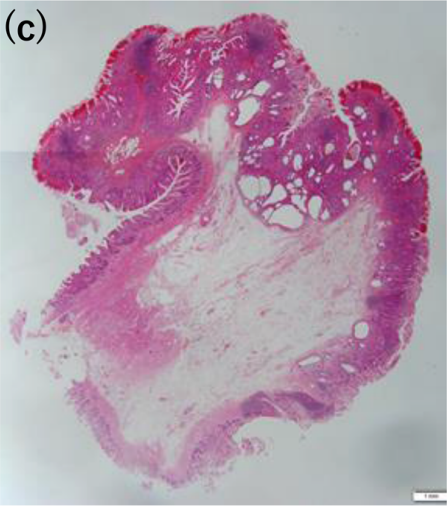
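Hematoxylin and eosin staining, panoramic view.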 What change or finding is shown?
cystically dilated hyperplastic glands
